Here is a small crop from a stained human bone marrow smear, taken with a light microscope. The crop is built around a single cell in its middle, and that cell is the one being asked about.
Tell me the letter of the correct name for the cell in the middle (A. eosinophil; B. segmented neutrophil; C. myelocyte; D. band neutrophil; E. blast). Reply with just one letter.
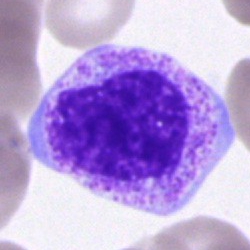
C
